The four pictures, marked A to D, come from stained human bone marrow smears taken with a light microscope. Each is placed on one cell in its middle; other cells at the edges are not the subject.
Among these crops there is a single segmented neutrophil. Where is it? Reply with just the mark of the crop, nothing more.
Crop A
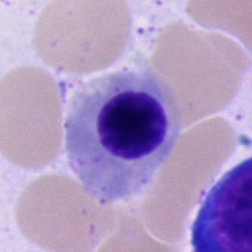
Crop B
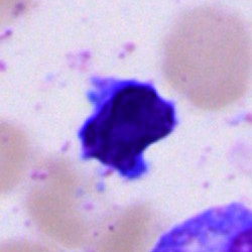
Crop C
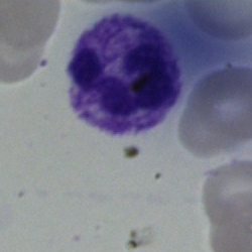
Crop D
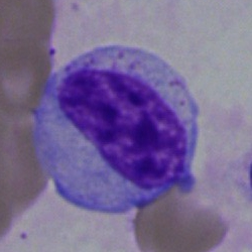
C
